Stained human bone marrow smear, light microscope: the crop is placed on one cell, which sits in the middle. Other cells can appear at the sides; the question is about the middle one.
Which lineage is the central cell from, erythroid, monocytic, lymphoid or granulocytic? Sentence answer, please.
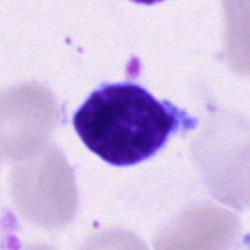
The lymphoid lineage includes the cell at the center of the crop.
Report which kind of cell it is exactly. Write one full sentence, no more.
At the crop's centre, the cell is a lymphocyte.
